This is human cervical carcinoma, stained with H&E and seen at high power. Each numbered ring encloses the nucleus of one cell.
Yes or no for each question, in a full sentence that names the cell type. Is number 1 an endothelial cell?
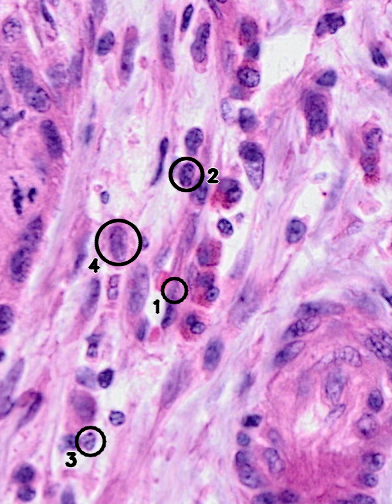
Yes, the cell that bears the number 1 is an endothelial cell.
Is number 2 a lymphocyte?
Yes, the marked cell number 2 is a lymphocyte.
